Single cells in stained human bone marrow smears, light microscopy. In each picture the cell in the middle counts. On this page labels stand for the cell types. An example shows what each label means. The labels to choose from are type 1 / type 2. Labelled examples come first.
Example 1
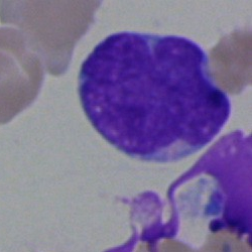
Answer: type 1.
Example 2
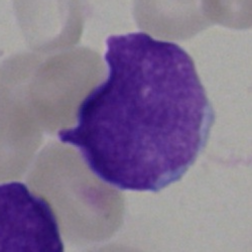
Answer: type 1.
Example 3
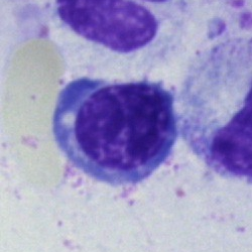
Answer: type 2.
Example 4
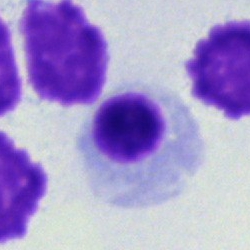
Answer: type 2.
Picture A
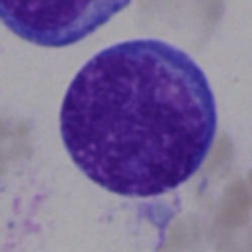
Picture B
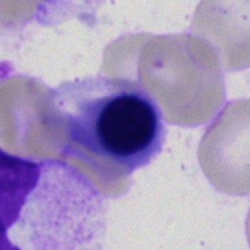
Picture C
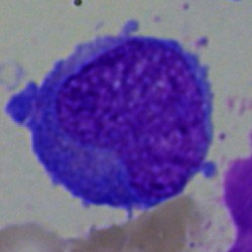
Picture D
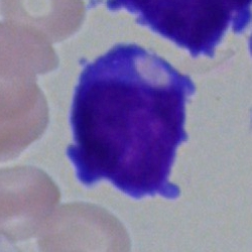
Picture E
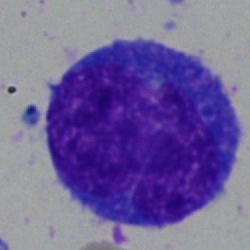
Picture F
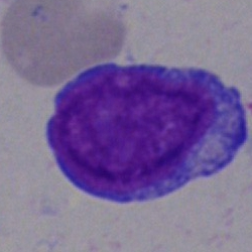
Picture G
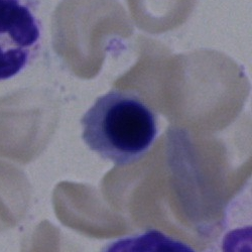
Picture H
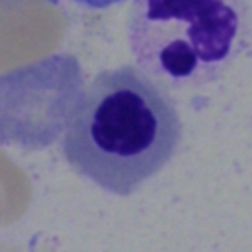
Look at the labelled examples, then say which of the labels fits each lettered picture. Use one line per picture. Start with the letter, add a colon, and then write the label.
A: type 1.
B: type 2.
C: type 1.
D: type 1.
E: type 1.
F: type 1.
G: type 2.
H: type 2.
